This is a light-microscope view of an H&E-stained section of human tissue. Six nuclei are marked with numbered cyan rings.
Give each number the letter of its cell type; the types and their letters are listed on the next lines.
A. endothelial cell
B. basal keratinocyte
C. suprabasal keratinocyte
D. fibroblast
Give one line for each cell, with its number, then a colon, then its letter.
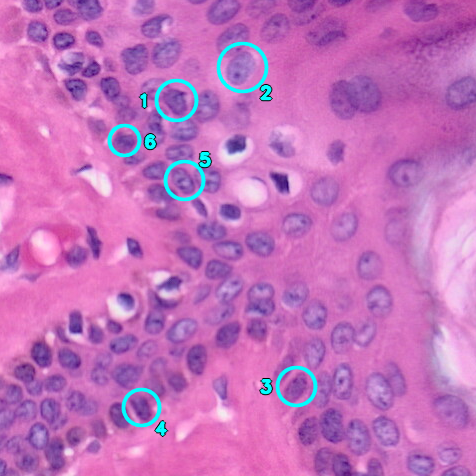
1: C
2: C
3: B
4: B
5: B
6: B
